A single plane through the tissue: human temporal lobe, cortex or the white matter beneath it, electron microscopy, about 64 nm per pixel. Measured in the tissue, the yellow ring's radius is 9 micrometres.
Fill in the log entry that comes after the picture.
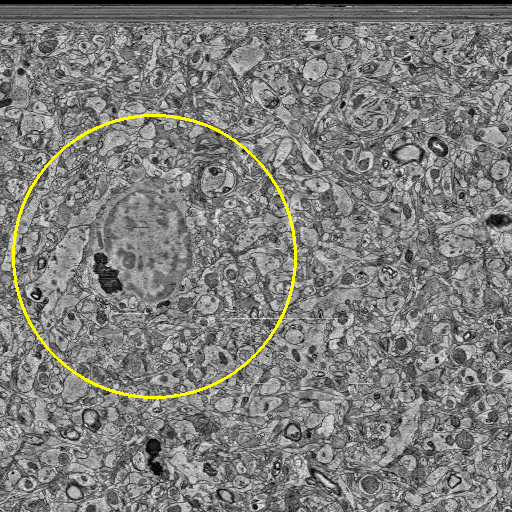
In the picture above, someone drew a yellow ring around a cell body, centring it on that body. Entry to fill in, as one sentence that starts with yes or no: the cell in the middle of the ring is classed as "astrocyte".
No, the cell in the ring's centre in this image is of a different kind.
